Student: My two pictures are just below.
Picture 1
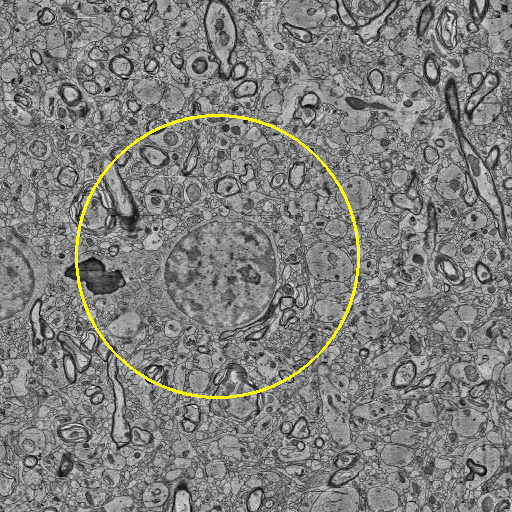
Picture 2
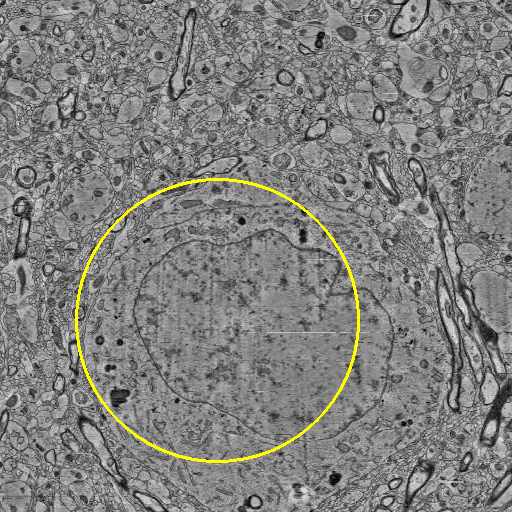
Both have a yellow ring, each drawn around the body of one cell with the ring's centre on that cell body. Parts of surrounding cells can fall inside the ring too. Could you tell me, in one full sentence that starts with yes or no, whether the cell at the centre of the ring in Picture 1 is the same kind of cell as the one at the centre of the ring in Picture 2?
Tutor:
No, the two cells are of two kinds.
